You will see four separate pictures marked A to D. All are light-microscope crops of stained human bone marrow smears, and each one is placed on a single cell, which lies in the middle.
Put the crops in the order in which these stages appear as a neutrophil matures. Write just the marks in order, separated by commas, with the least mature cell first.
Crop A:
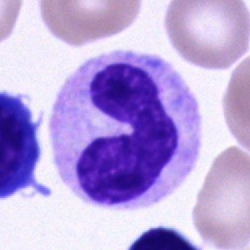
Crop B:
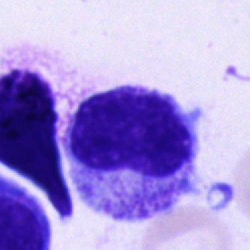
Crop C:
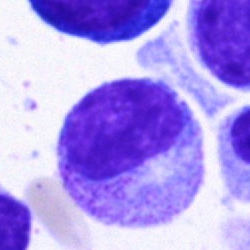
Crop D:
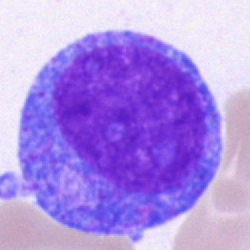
D, C, B, A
